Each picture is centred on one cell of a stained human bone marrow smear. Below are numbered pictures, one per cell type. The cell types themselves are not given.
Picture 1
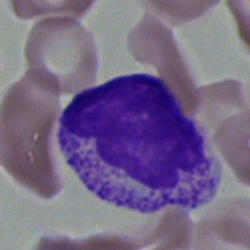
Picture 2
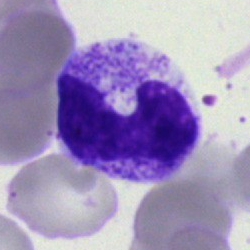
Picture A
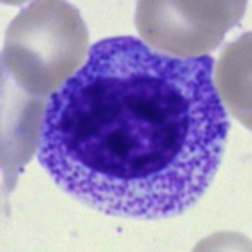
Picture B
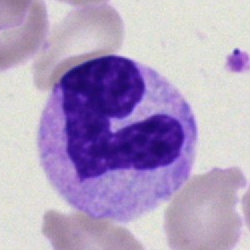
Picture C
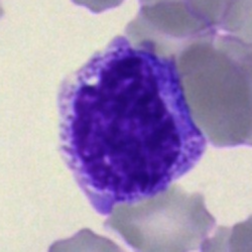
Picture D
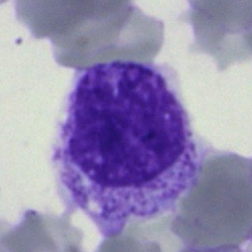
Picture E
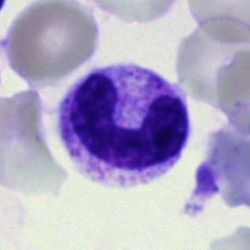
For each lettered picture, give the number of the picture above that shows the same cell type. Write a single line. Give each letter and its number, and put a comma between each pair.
A 1, B 2, C 1, D 1, E 2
